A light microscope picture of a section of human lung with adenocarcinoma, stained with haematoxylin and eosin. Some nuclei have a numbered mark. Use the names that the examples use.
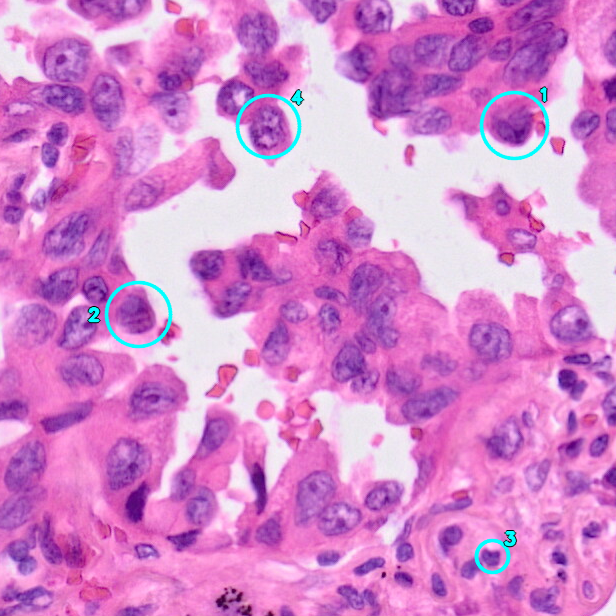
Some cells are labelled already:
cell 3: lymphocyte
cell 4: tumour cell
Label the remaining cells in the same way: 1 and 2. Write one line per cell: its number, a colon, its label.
1: tumour cell
2: tumour cell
